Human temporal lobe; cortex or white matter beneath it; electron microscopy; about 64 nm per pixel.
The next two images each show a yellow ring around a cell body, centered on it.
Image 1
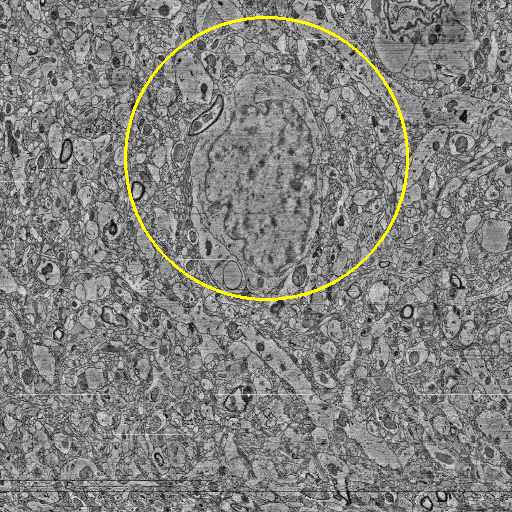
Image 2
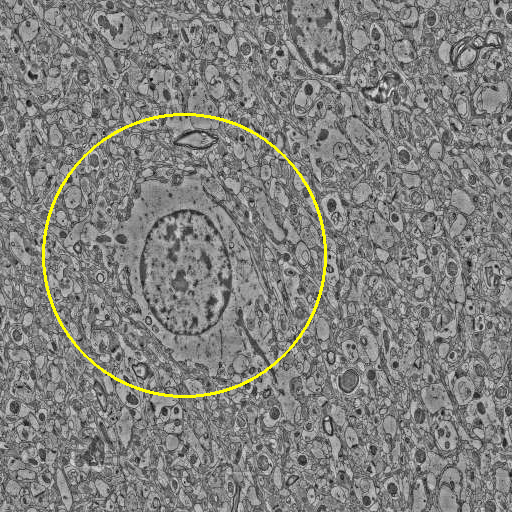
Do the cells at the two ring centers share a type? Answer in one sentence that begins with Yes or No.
No, across the two images the cells at the ring centers are of two types.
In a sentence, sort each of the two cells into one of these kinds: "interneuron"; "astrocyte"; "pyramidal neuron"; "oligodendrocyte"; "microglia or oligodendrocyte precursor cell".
The first of the two cells is an interneuron, and the second is an astrocyte.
